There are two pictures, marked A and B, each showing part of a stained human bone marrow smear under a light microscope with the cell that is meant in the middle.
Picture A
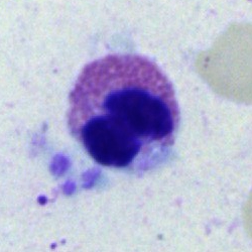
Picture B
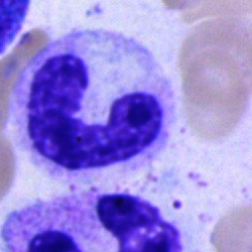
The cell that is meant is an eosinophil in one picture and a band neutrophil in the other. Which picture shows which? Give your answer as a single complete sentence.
Picture B shows a band neutrophil, while picture A shows an eosinophil.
